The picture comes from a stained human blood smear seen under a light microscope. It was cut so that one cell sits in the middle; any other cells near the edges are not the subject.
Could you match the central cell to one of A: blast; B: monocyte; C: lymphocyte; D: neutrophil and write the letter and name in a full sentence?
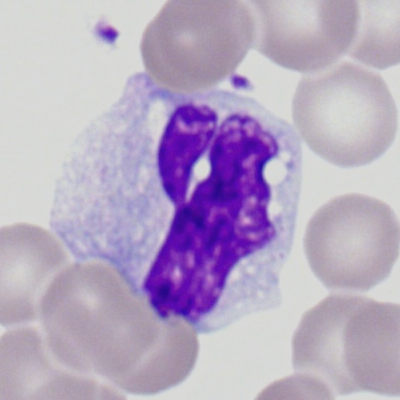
The cell at the heart of the crop is a monocyte, so choose option B.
